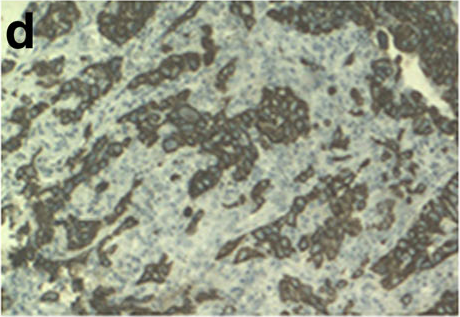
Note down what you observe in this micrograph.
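Carcinoma tissue in which irregular nests and cords of tumor cells are stained dark brown throughout their cytoplasm, outlining cell borders sharply. The brown nests are set in pale blue stroma containing scattered small blue nuclei of stromal cells, which are unstained. The tumor nests vary in size, branching and interconnecting across the field. Nuclei inside the stained nests show only as paler spots.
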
